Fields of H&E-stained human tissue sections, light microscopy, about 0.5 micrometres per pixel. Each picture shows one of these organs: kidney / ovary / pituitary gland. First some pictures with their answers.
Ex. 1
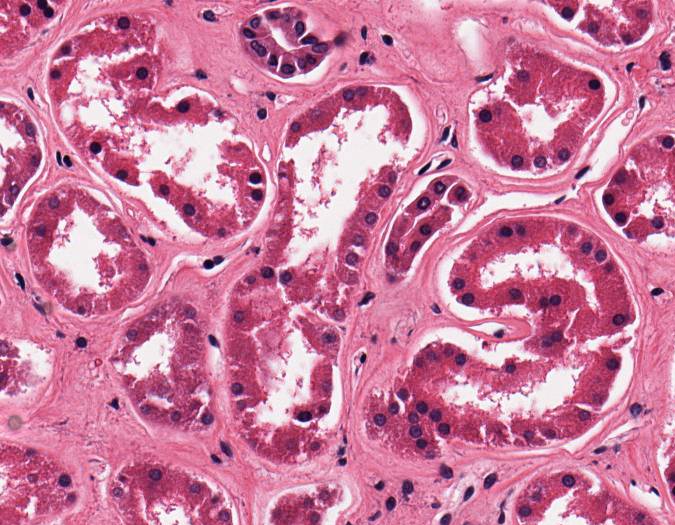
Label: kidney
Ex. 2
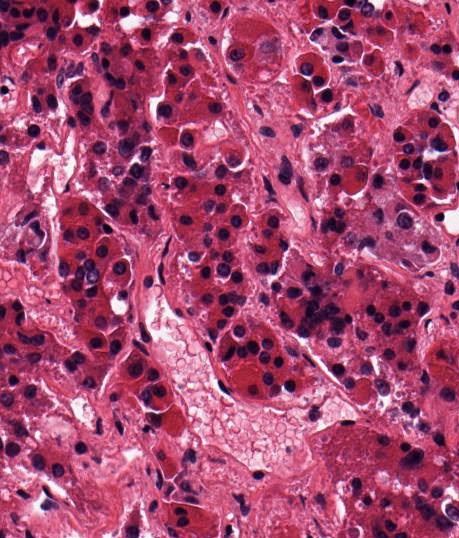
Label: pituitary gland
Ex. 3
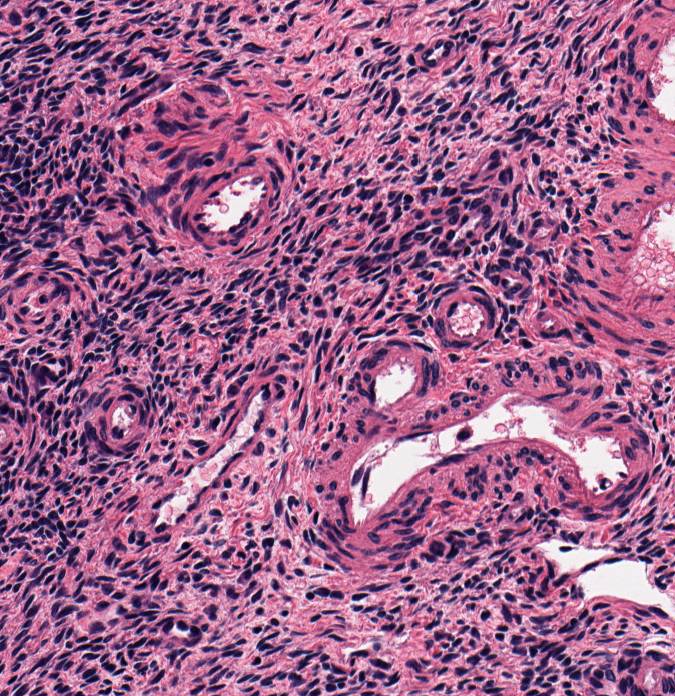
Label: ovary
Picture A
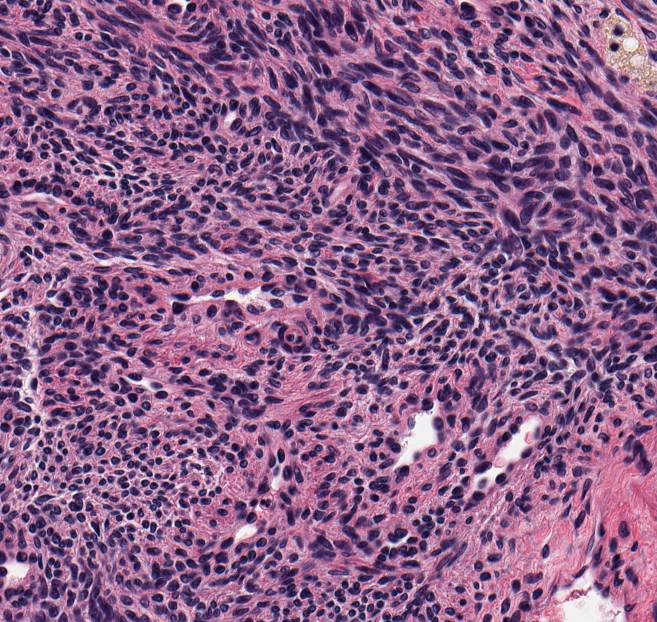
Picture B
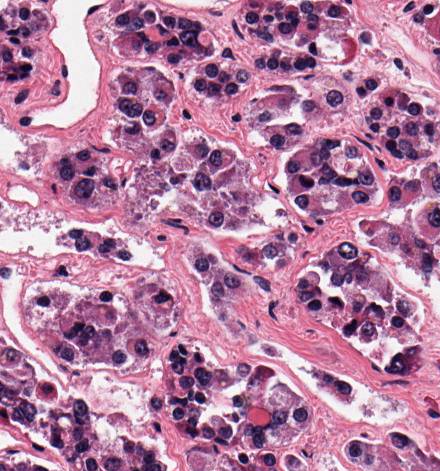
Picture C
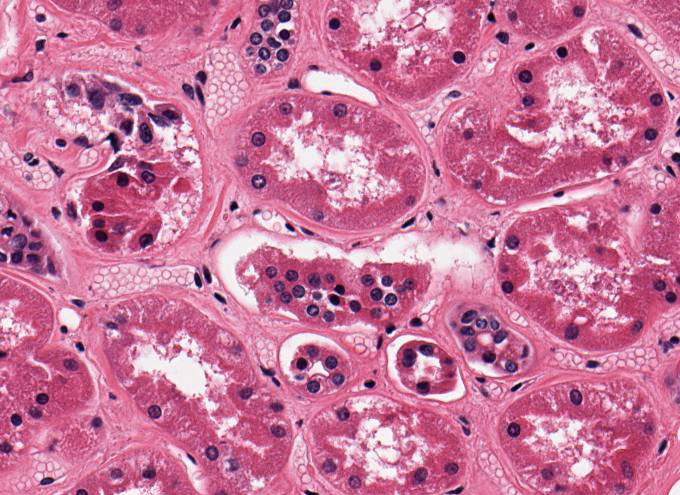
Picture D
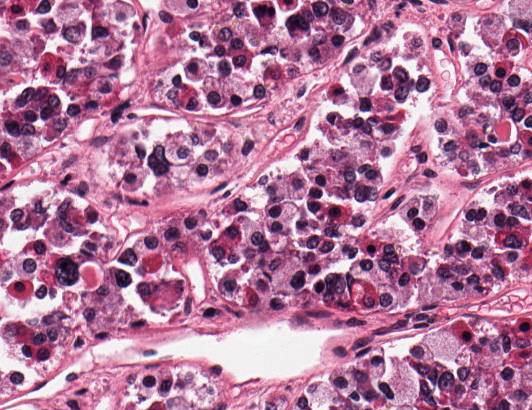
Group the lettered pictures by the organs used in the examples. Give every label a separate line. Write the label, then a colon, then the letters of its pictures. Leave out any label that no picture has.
kidney: C
ovary: A
pituitary gland: B, D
